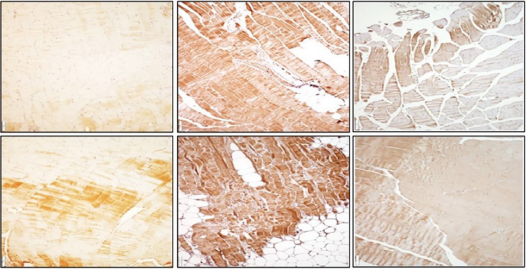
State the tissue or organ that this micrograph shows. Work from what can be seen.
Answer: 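Muscle tissue. Long parallel fibres run across the field in bundles. The fibres are separated by thin clefts into fascicle-like groups.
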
